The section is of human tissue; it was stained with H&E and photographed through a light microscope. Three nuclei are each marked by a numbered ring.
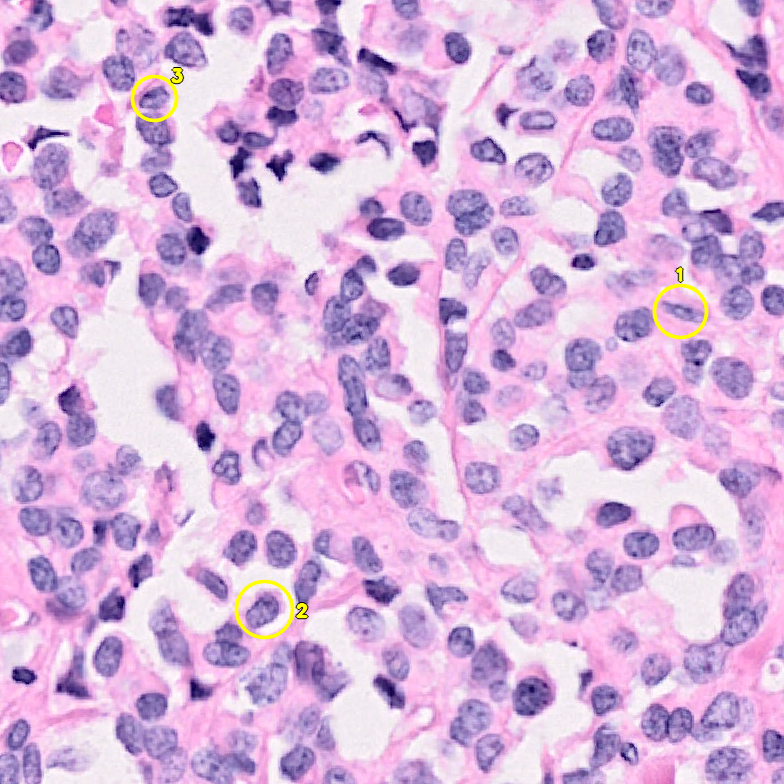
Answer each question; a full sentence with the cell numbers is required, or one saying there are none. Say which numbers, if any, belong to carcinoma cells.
The cells referred to by the numbers 2 and 3 are carcinoma cells.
